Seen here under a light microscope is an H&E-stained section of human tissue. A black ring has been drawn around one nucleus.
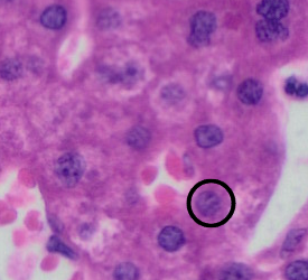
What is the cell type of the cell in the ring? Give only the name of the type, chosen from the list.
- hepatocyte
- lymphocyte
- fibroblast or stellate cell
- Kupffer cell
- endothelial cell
hepatocyte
